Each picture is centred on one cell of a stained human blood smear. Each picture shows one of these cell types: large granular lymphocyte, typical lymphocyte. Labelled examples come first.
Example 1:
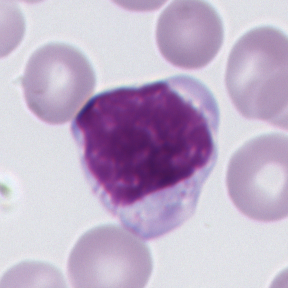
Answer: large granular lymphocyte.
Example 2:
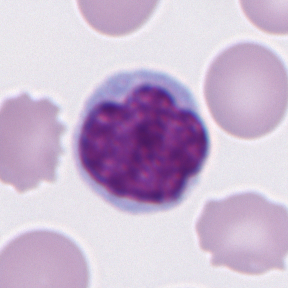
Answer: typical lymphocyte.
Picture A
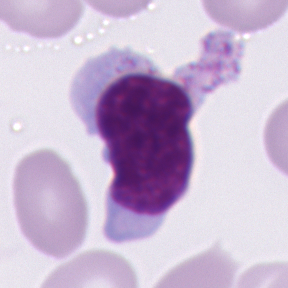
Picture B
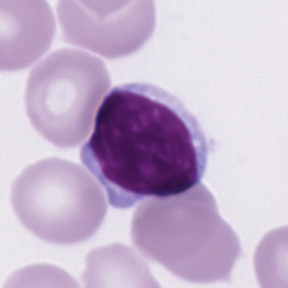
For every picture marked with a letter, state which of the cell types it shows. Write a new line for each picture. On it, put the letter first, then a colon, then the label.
A: large granular lymphocyte.
B: typical lymphocyte.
